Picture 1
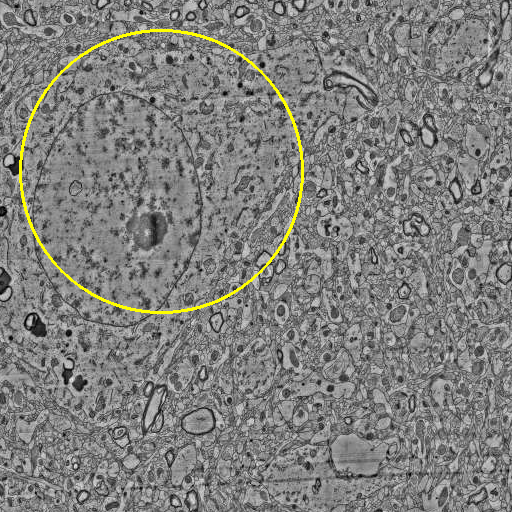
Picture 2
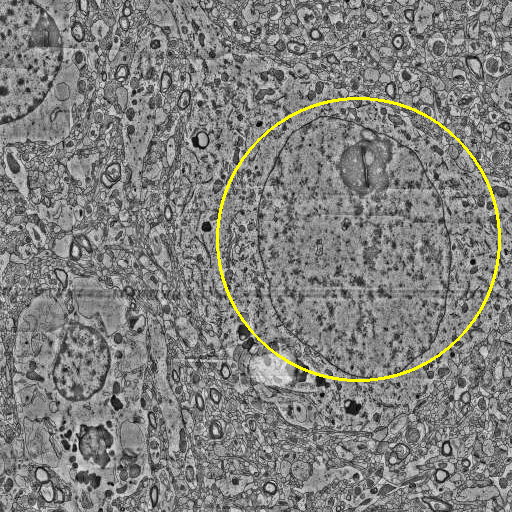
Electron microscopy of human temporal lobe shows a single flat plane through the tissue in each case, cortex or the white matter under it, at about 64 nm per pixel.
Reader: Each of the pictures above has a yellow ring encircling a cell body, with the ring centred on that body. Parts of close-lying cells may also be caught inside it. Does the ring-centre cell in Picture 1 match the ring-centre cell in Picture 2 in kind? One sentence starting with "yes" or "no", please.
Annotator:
Yes, Picture 1 and Picture 2 show ring-centre cells of a single kind.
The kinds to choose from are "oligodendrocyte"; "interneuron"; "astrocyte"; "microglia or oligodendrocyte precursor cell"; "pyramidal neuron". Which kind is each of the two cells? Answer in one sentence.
Each cell, in the first picture and the second, is a pyramidal neuron.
